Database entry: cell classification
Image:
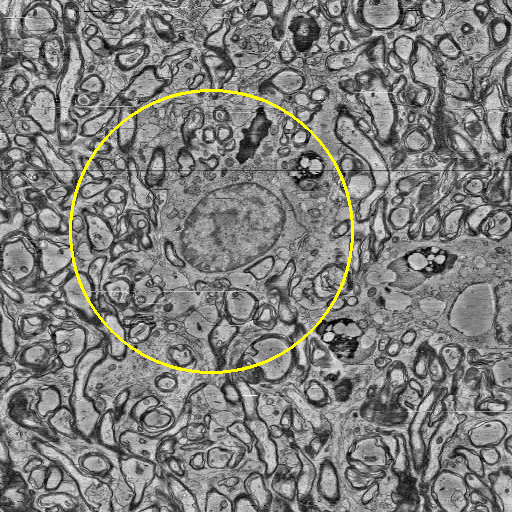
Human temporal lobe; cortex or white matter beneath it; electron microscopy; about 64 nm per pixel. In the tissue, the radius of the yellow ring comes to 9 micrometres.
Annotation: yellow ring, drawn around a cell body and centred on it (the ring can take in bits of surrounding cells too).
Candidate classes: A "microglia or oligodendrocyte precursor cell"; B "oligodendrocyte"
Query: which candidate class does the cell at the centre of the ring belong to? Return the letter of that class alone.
B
